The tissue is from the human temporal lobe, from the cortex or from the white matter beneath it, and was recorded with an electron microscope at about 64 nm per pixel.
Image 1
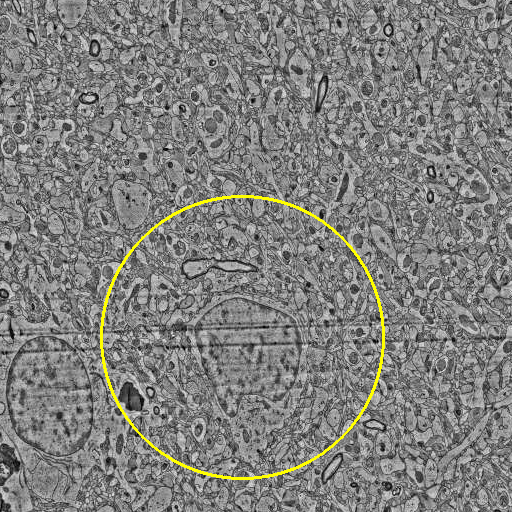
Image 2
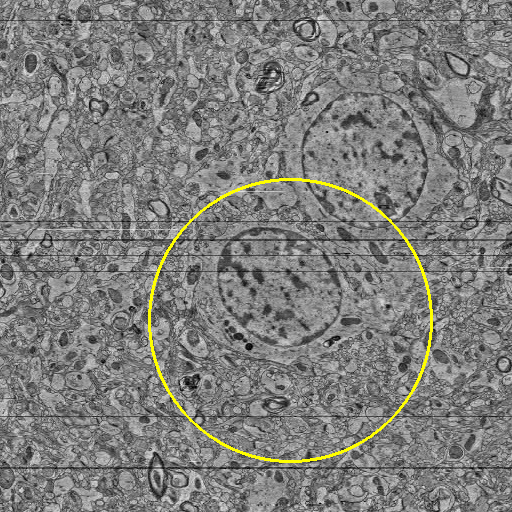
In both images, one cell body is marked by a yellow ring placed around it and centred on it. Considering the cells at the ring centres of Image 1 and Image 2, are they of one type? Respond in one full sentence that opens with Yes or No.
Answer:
No, two types apply to the ring-centred cells of Image 1 and Image 2.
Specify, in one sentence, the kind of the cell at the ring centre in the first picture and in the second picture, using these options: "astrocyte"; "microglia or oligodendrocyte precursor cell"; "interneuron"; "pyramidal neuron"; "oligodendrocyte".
So the first is a microglial cell or oligodendrocyte precursor cell, the second an astrocyte.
